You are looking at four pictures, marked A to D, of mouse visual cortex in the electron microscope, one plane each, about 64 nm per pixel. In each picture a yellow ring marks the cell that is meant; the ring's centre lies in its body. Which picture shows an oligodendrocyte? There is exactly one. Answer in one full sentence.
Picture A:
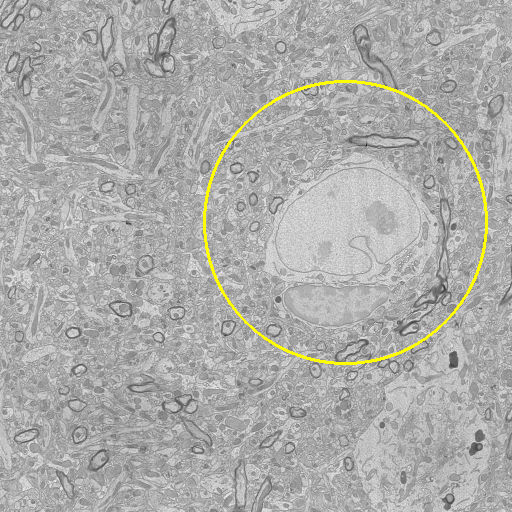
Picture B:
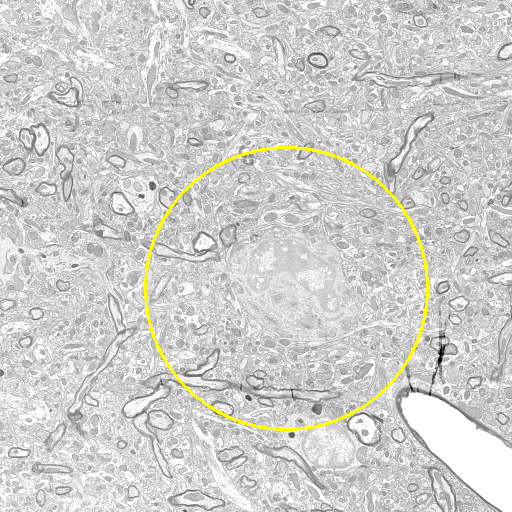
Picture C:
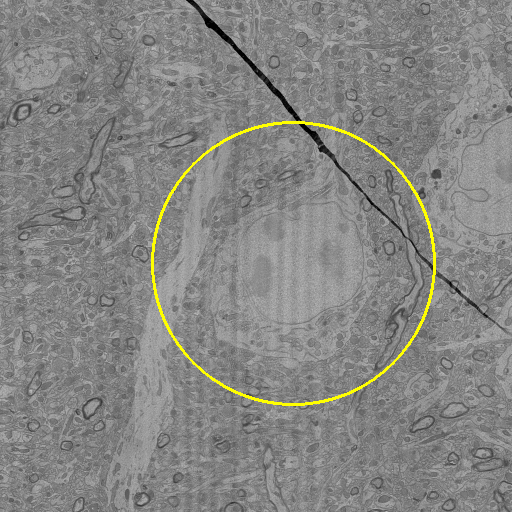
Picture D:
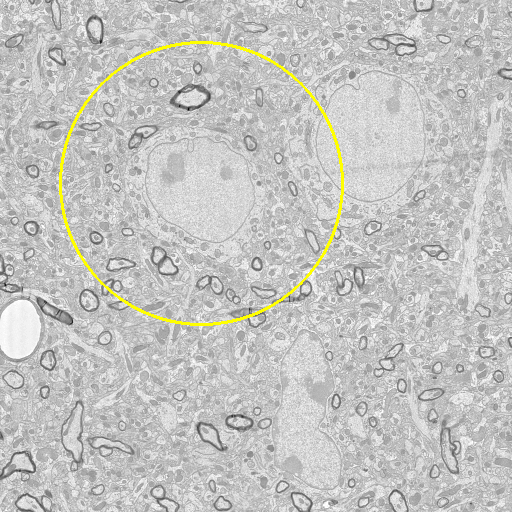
Picture B is the one that shows the oligodendrocyte.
